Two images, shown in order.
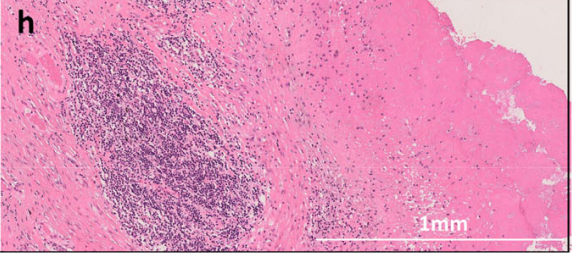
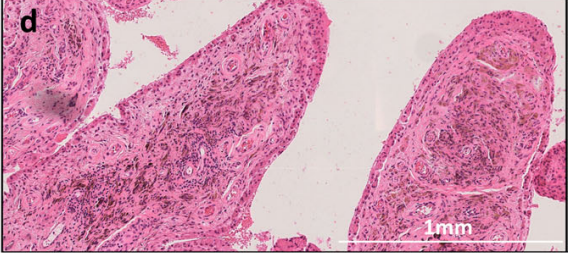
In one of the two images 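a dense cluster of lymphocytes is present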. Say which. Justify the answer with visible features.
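First image: a dense aggregate of small, round, dark-blue nuclei. Second image: the cells have more cytoplasm and carry brown pigment, and there is no such aggregate. That points to this answer: the first image.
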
